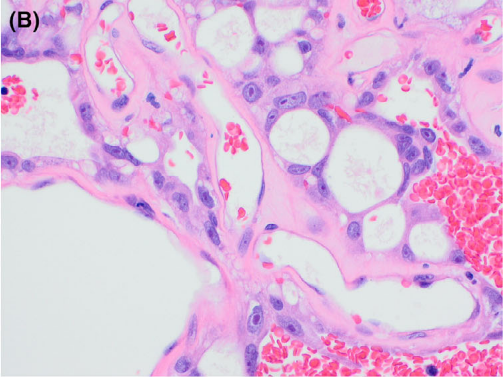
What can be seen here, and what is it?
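Tumour cells of a renal cell carcinoma line cystic and tubular spaces separated by thin pink fibrovascular septa with red blood cells. The cells have enlarged nuclei, several with prominent pink macronucleoli surrounded by a clear halo, and moderate pale to pink cytoplasm.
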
